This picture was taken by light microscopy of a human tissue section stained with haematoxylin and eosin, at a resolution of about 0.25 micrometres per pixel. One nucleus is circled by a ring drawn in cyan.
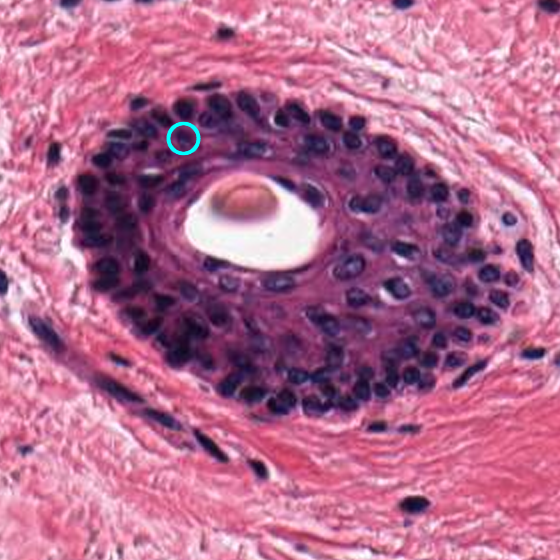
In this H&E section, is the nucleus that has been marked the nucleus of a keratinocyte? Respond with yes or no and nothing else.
yes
